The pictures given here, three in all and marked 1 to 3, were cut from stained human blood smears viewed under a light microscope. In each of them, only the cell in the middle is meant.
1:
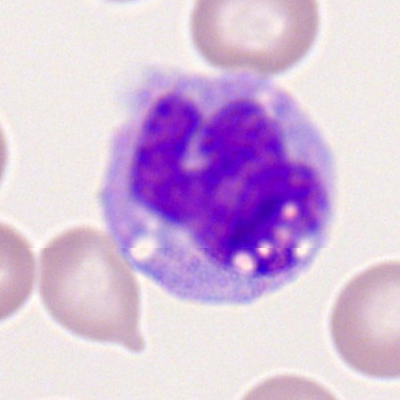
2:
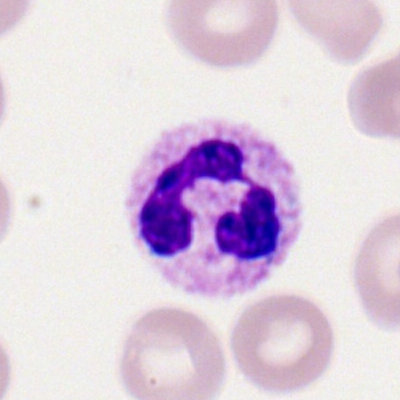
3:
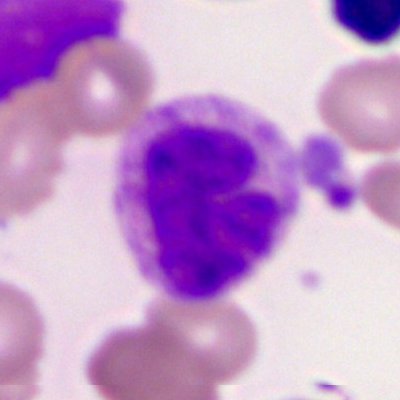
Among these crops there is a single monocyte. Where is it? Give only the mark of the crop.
1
